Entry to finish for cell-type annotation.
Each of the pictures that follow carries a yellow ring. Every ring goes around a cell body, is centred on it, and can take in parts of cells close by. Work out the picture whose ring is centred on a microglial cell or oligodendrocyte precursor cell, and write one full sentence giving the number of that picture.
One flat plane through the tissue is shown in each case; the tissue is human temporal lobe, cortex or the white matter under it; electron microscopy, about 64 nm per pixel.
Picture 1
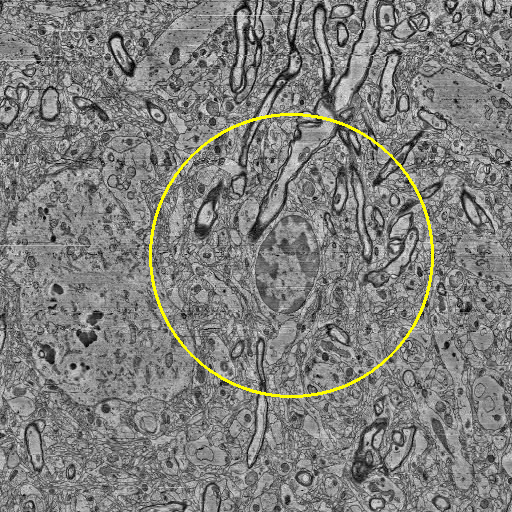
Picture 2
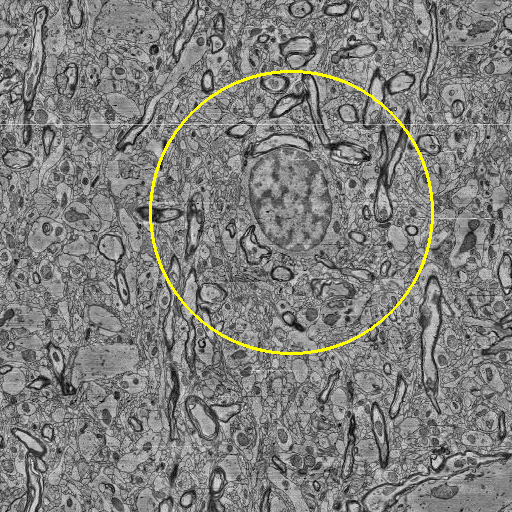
The cell at the heart of the ring in picture 1 matches the request.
